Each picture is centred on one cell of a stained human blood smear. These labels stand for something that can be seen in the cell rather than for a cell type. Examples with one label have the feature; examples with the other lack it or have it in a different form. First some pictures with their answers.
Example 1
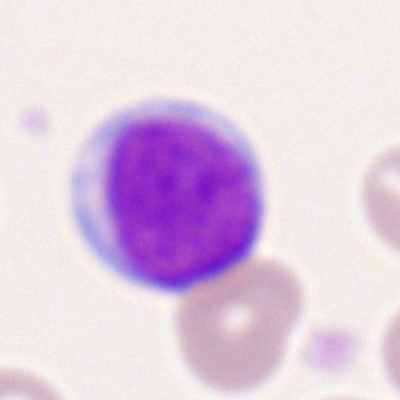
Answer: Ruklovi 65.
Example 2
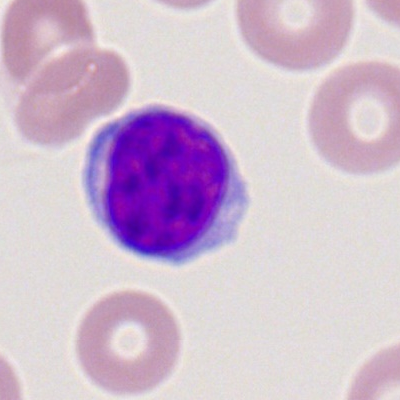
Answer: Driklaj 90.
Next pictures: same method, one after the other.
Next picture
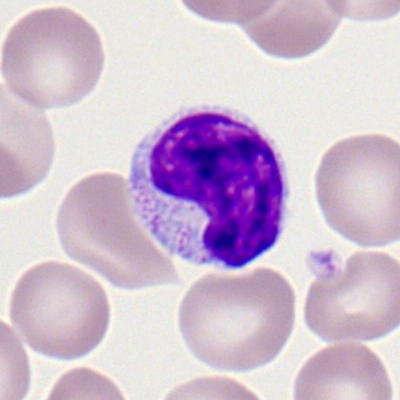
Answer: Ruklovi 65.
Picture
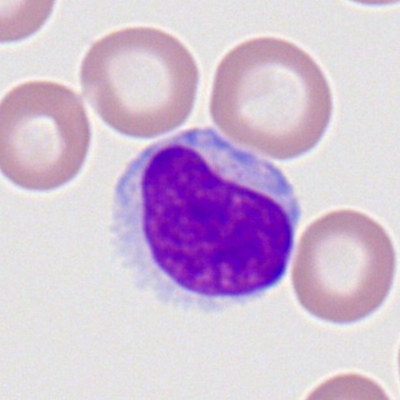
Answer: Driklaj 90.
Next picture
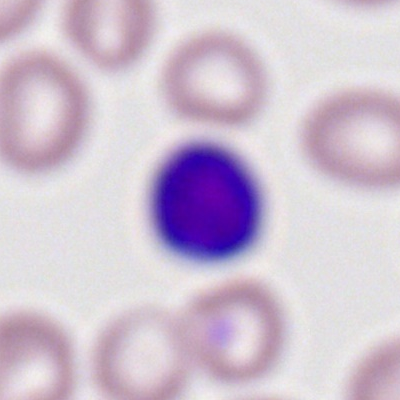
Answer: Ruklovi 65.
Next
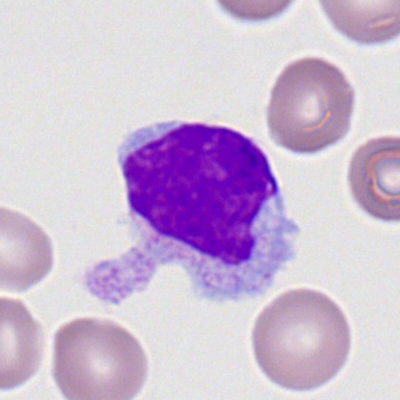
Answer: Driklaj 90.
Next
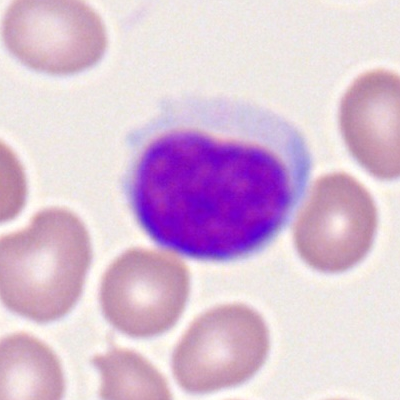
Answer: Driklaj 90.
